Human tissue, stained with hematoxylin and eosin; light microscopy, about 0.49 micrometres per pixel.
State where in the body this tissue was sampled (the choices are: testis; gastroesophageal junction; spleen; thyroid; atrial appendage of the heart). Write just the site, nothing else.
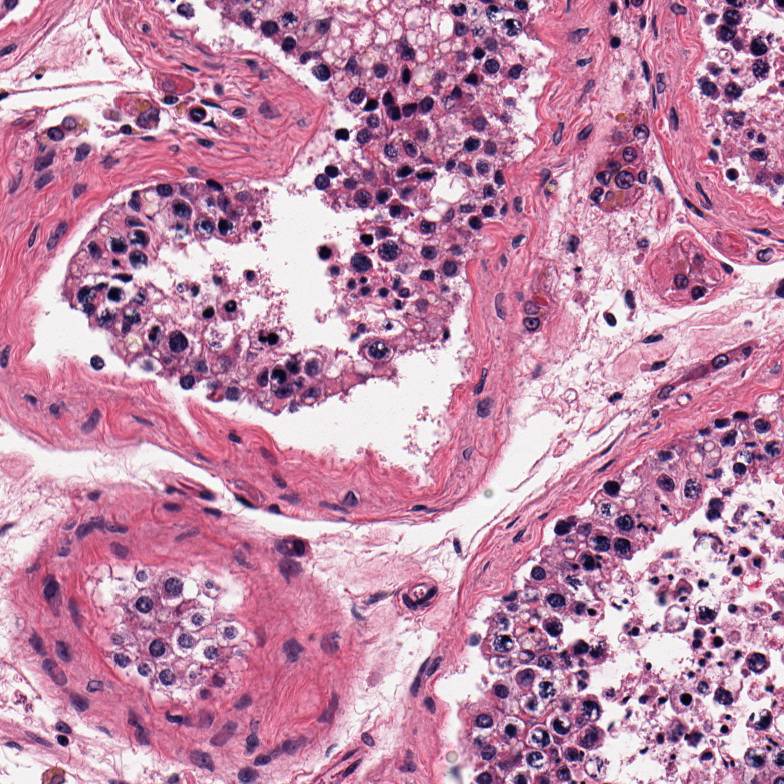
testis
